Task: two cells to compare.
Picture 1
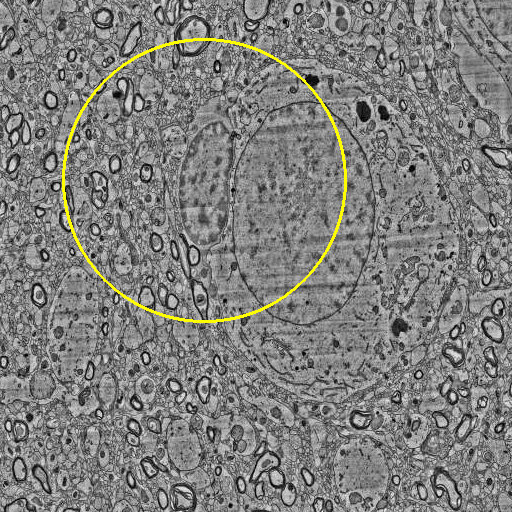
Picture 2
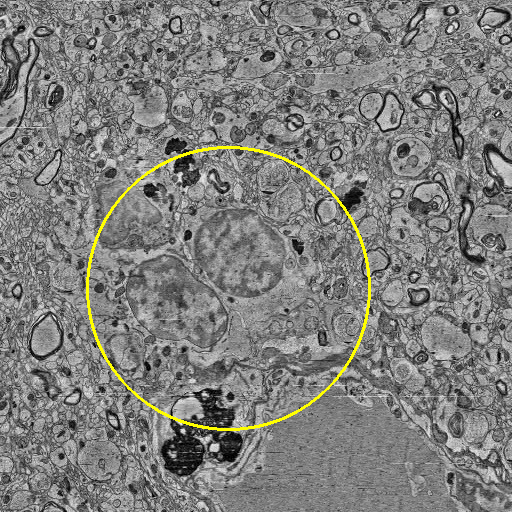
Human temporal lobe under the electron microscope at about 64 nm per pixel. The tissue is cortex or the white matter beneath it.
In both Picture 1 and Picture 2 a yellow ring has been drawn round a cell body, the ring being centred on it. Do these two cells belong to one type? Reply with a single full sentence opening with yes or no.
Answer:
Yes, the two cells at the ring centres in Picture 1 and Picture 2 share one type.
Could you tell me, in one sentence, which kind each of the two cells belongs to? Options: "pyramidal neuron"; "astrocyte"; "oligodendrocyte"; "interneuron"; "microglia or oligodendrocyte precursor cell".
Each cell at the centre of a ring is an oligodendrocyte.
